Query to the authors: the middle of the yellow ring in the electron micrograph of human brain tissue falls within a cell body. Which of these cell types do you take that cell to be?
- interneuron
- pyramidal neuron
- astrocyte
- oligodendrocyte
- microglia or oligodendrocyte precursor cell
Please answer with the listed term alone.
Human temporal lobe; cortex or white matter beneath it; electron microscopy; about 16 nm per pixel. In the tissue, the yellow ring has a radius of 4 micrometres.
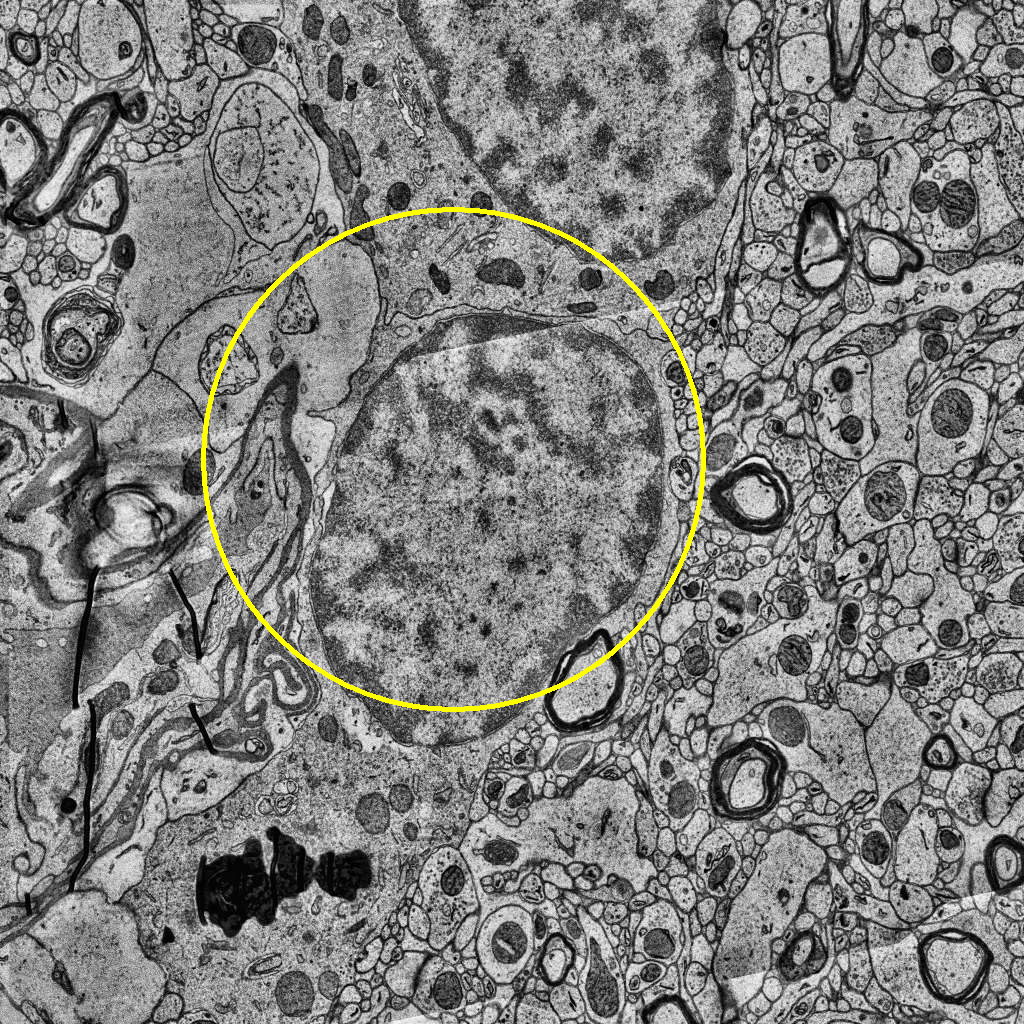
oligodendrocyte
